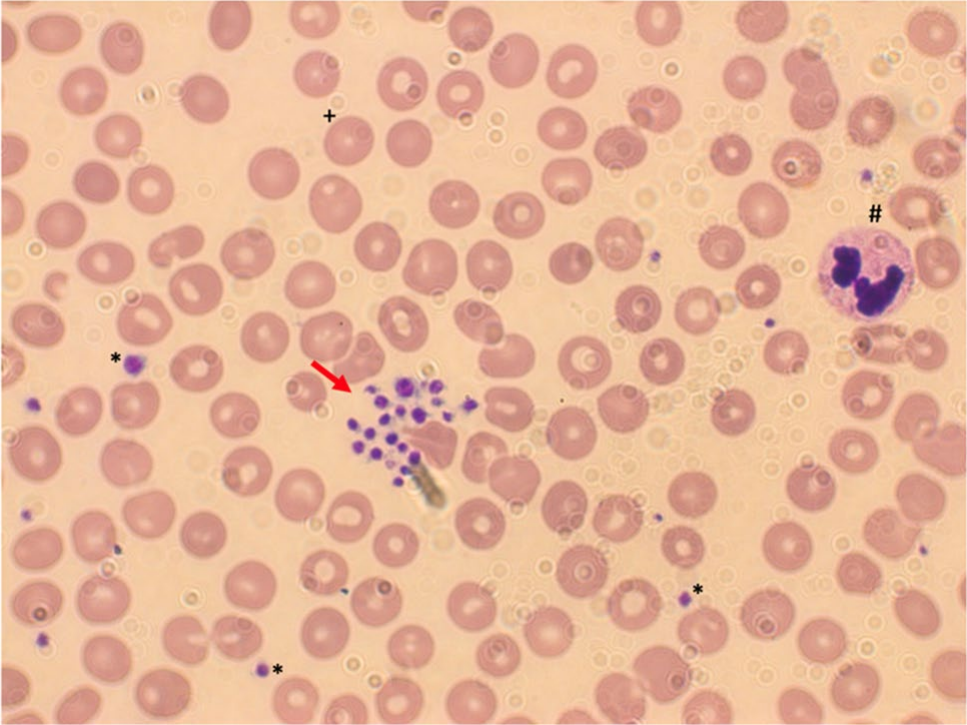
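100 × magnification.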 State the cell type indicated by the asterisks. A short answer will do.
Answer: Single platelets.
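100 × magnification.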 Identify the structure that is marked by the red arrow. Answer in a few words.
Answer: Platelet aggregates.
